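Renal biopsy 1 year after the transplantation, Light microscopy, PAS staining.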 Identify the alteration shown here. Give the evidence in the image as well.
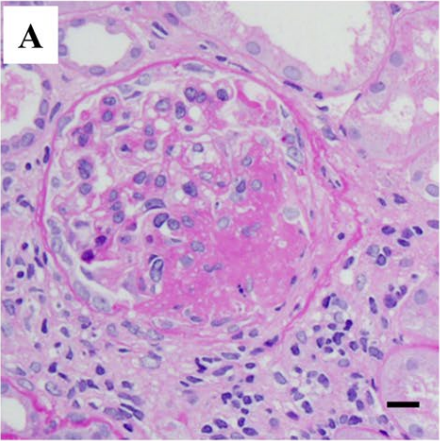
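Segmental sclerosis. Capillary loops in that segment are obliterated while another part of the tuft keeps open loops.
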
